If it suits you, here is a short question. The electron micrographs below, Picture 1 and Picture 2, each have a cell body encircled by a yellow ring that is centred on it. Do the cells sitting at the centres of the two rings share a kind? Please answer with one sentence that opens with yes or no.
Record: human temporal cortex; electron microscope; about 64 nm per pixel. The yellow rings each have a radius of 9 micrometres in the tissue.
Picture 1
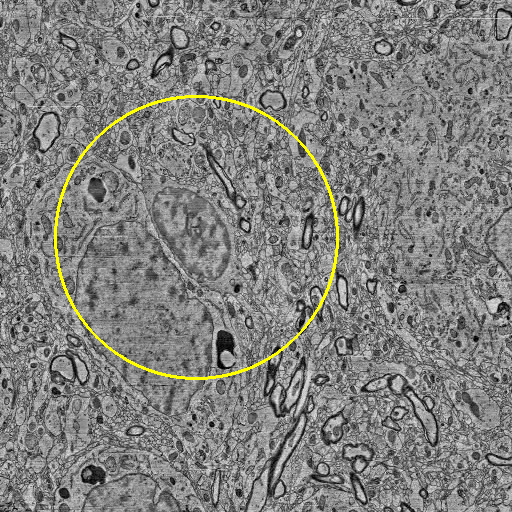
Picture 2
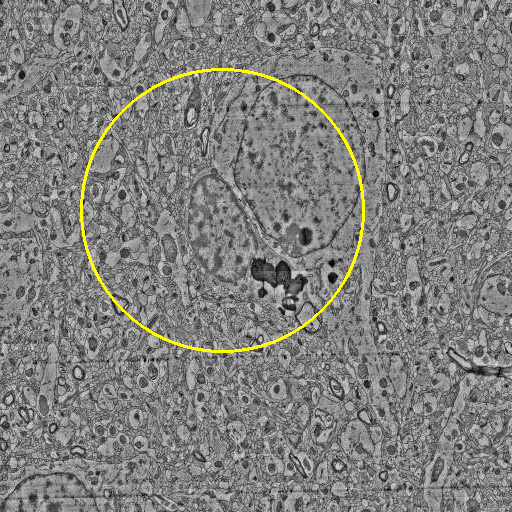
Yes, the two cells sitting at the ring centres share a single kind.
